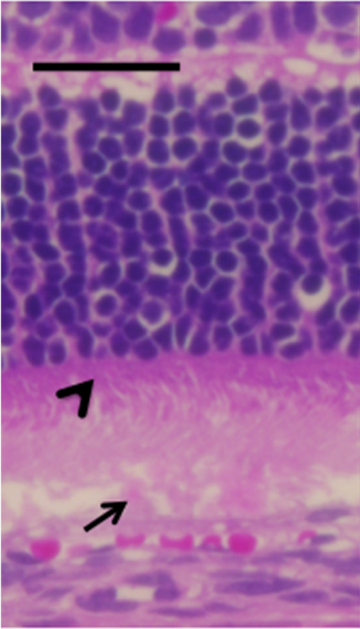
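This is the outer retina, with the photoreceptor nuclear layer forming a thick band of densely packed, small, round, darkly purple nuclei arranged in vertical columns. Above it a thin pale pink band separates it from another layer of larger, more loosely set nuclei at the top. Below the nuclei lies a pink, finely striated band of photoreceptor segments, and beneath that a paler, looser zone with small clear spaces and wispy pink material. At the bottom a flat layer of cells with elongated nuclei and bright red blood cells marks the pigment epithelium and choroid.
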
